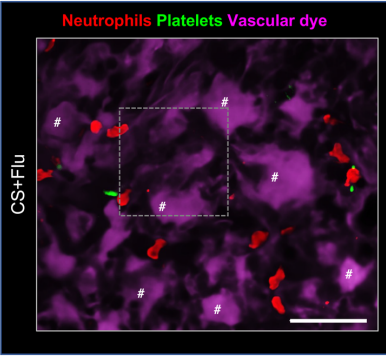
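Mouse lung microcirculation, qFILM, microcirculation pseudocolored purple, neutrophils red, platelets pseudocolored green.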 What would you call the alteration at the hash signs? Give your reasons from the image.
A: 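Vascular leakage. The spaces marked by hash signs are filled with bright purple. Purple fills rounded compartments rather than only thin strands.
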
